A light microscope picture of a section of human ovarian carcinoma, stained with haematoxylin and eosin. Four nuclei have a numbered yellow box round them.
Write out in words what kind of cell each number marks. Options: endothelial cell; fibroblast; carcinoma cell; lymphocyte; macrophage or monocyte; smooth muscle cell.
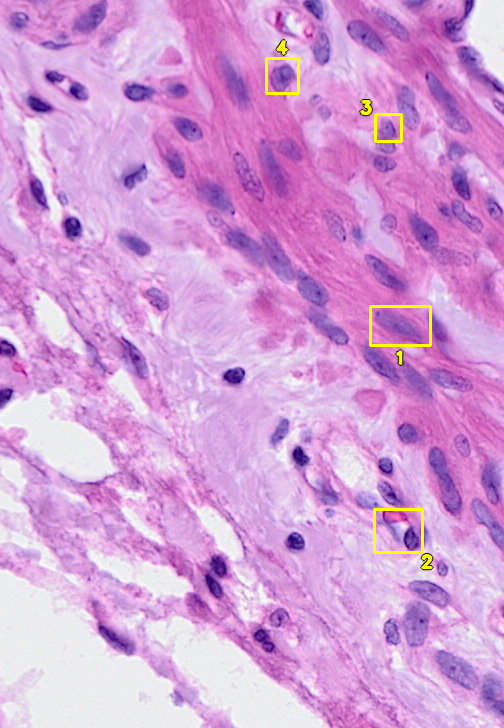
Cell 1 is a smooth muscle cell, cell 2 is an endothelial cell, cell 3 is a smooth muscle cell and cell 4 is a smooth muscle cell.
